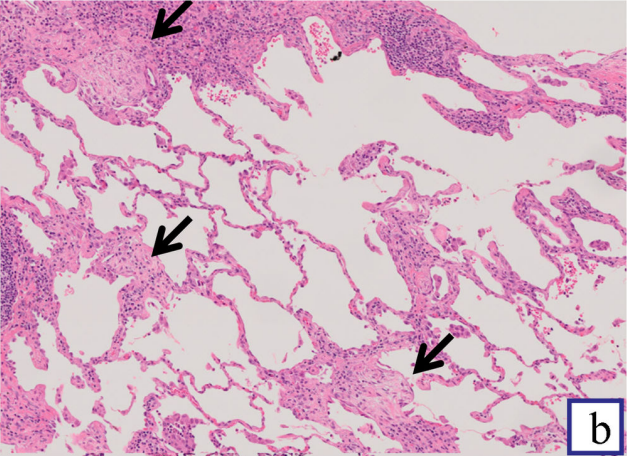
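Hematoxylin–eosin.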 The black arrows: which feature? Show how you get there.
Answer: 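Fibroblastic foci. Several pale, lightly eosinophilic patches within thickened alveolar walls. The patches contain loosely arranged spindle-shaped cells. The alveolar septa around them are widened and cellular.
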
